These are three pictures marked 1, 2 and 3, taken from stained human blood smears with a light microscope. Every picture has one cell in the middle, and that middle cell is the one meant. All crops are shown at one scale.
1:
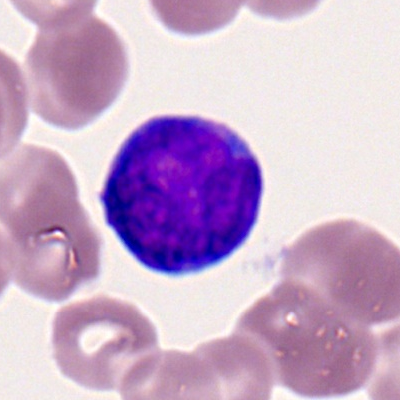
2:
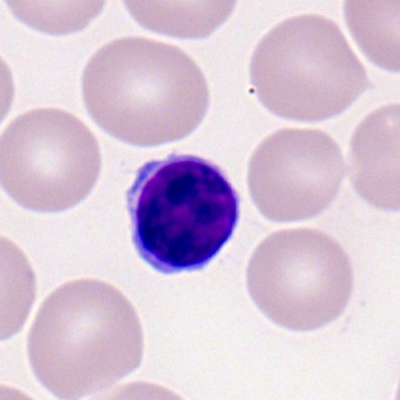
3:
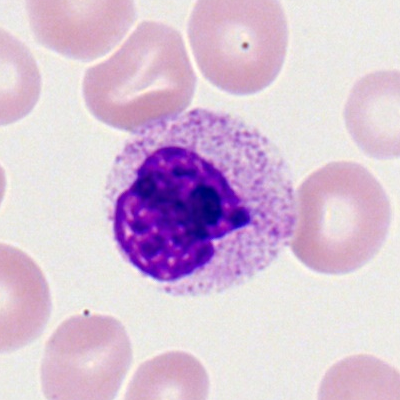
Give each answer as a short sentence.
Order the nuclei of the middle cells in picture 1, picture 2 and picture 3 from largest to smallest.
The order is 1, 3, 2, beginning with the largest.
